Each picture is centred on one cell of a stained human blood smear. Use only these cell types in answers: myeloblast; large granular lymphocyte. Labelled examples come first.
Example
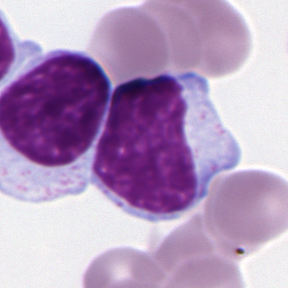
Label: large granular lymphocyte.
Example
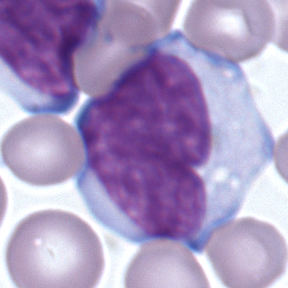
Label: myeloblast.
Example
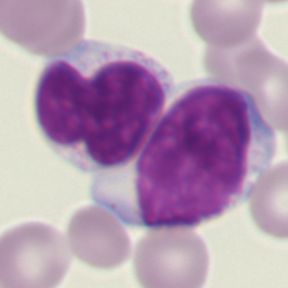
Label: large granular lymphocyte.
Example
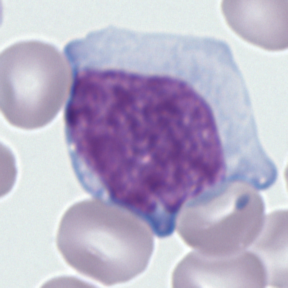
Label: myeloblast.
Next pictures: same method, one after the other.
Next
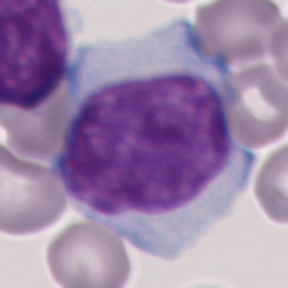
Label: myeloblast.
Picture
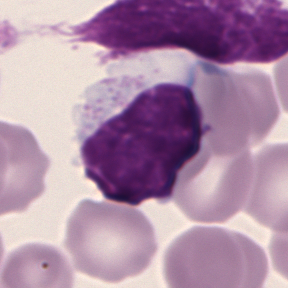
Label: large granular lymphocyte.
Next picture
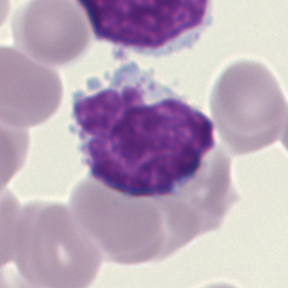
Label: large granular lymphocyte.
